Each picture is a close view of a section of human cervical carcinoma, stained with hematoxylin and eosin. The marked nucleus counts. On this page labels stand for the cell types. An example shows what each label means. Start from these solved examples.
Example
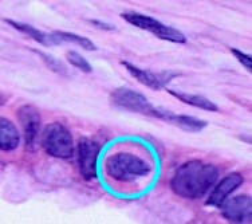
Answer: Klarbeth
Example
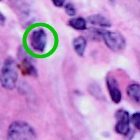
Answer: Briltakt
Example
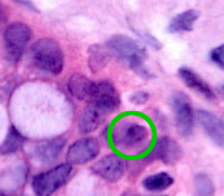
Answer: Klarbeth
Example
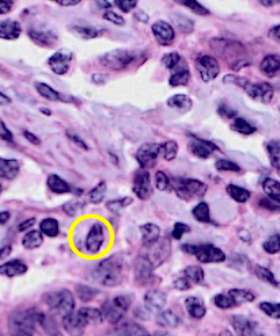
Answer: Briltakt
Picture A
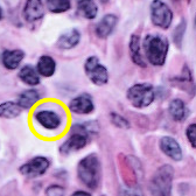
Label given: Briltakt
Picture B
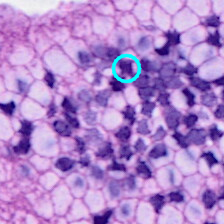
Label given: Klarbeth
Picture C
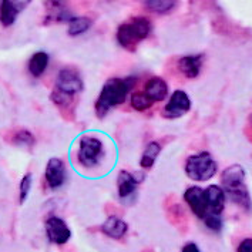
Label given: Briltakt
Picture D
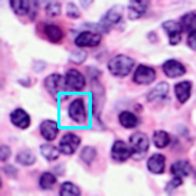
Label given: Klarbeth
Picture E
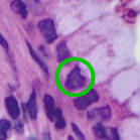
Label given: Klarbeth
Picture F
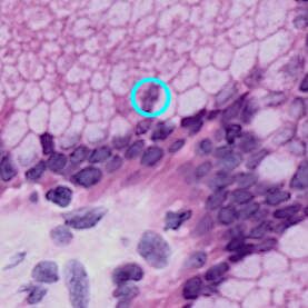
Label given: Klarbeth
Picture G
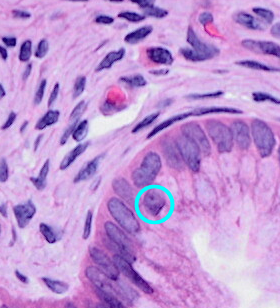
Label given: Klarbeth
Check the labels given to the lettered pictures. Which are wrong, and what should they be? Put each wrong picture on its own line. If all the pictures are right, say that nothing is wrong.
D is labelled Klarbeth; correct label: Briltakt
